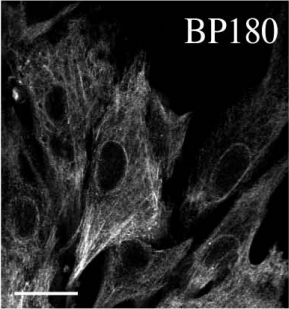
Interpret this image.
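The cells are large and irregular, some broad and fan-shaped, others drawn out into tapering extensions toward the edges. Each has a rounded oval nucleus that shows as a dark, unlabelled hole, often rimmed by a thin bright line. The labelled material fills the cytoplasm as a fine network of threads and fibres, densest in a sweeping fibrillar mesh across the larger cells and running toward their margins. Neighbouring cells overlap loosely, with dark gaps of bare coverslip between groups.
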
